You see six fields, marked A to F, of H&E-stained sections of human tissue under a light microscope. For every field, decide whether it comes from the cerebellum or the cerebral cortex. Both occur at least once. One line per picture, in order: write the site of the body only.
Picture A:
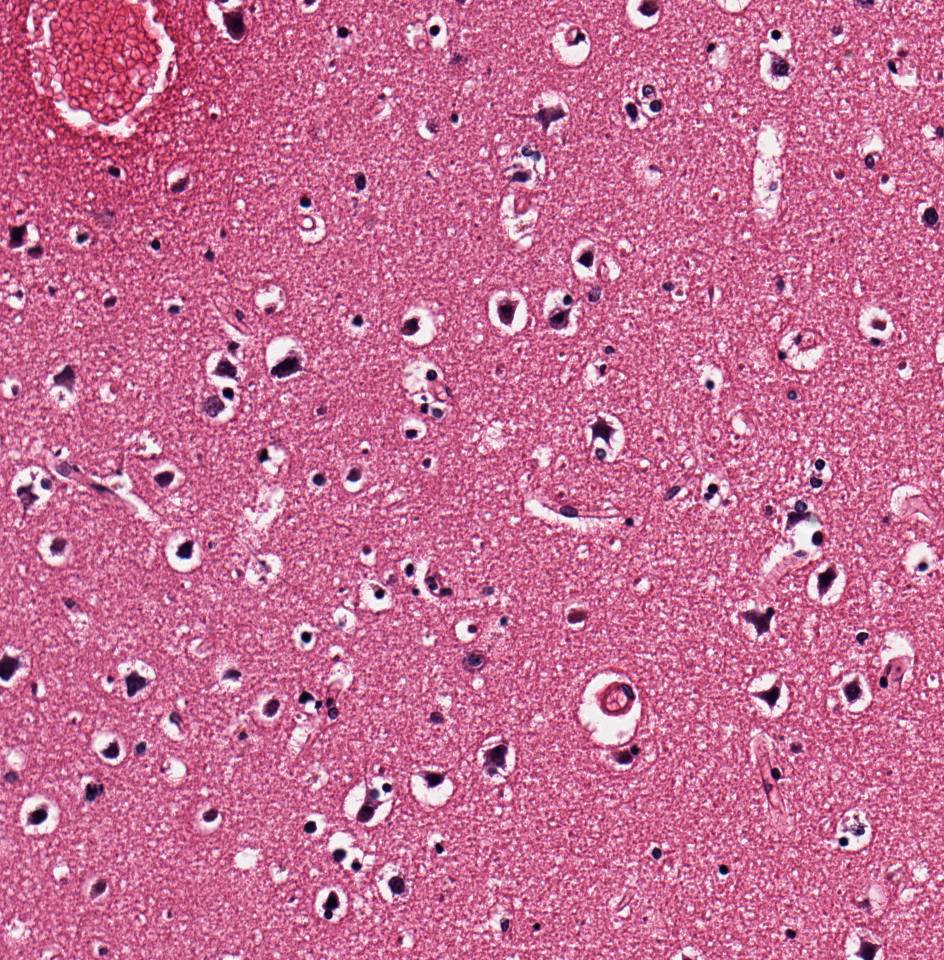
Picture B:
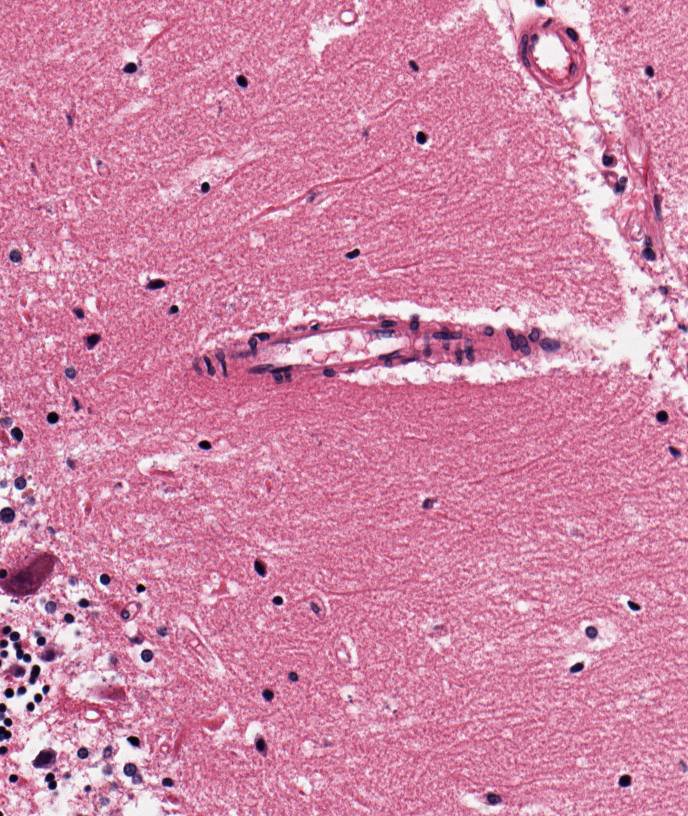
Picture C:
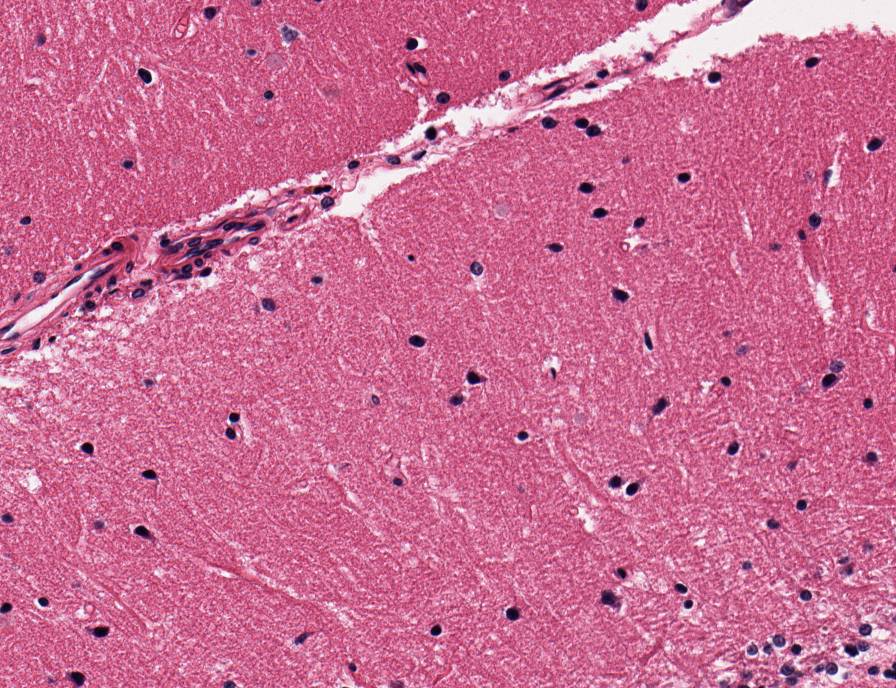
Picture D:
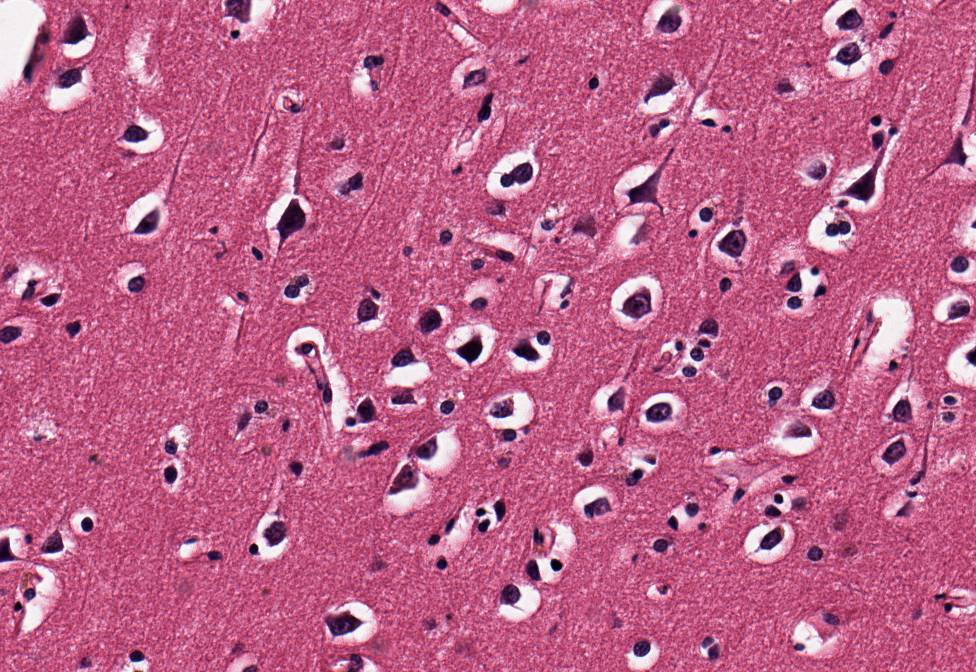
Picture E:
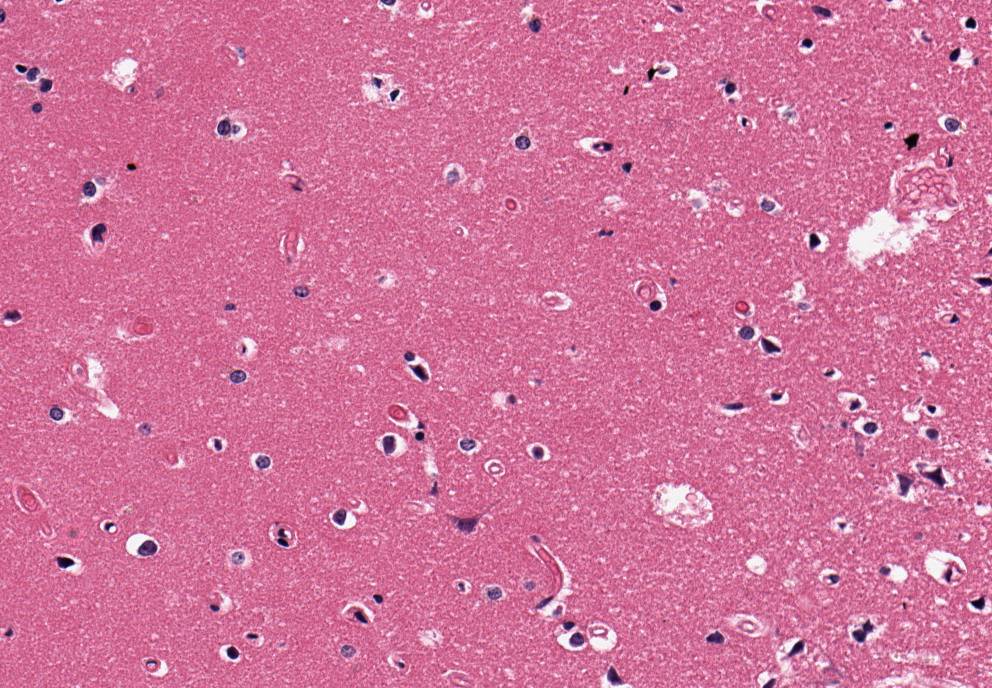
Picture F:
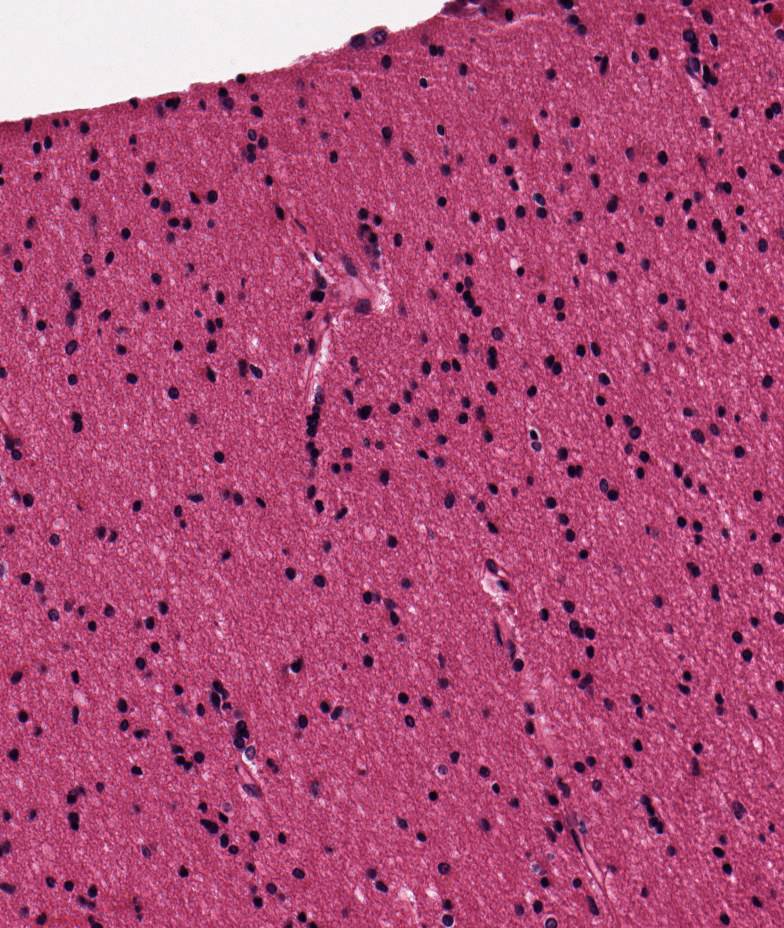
cerebral cortex
cerebellum
cerebellum
cerebral cortex
cerebral cortex
cerebral cortex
